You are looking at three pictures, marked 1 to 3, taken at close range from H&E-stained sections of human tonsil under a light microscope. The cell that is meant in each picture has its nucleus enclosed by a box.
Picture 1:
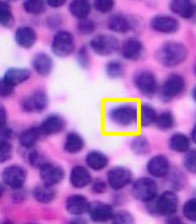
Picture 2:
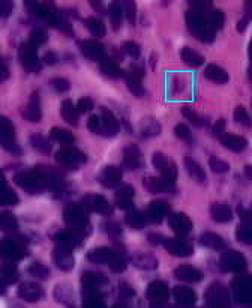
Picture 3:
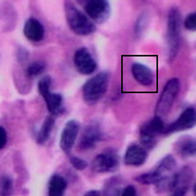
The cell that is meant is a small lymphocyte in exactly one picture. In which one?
1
